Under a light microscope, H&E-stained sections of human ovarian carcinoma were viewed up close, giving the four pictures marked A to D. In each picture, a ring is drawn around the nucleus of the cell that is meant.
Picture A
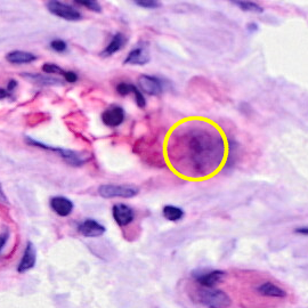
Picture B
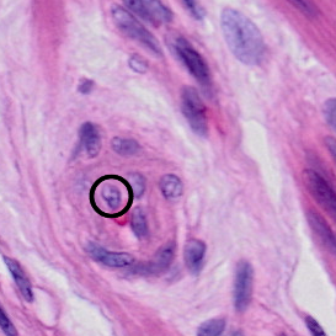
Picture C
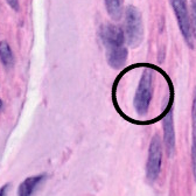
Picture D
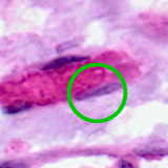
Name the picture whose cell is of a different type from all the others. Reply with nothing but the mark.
C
